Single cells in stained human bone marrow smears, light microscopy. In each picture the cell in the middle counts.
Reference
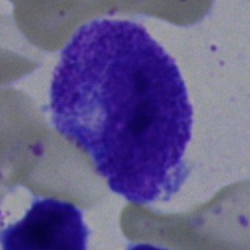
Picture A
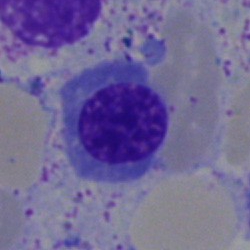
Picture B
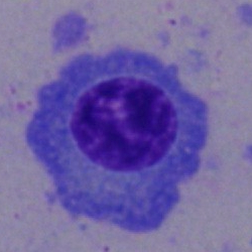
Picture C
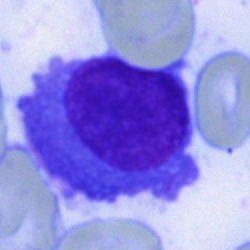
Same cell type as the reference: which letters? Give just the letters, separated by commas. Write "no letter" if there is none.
no letter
